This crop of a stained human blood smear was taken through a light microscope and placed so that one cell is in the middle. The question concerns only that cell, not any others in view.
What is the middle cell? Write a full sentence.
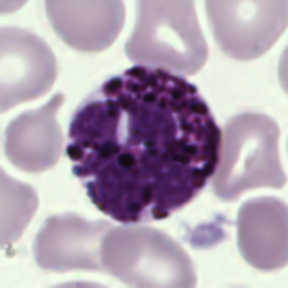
In this crop, the cell at the very middle is a basophil.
